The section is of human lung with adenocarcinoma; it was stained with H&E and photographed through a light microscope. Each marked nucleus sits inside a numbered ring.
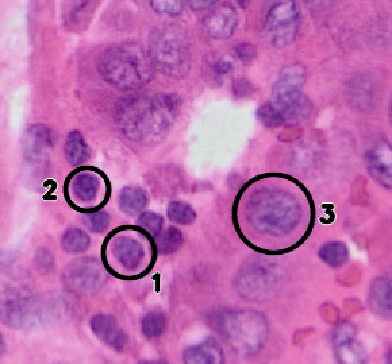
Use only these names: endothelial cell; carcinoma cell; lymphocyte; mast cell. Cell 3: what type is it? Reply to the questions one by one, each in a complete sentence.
Cell 3 in the field is a carcinoma cell.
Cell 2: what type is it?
The label 2 in this section denotes a lymphocyte.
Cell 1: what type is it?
The one labeled 1 is a lymphocyte, to put it simply.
